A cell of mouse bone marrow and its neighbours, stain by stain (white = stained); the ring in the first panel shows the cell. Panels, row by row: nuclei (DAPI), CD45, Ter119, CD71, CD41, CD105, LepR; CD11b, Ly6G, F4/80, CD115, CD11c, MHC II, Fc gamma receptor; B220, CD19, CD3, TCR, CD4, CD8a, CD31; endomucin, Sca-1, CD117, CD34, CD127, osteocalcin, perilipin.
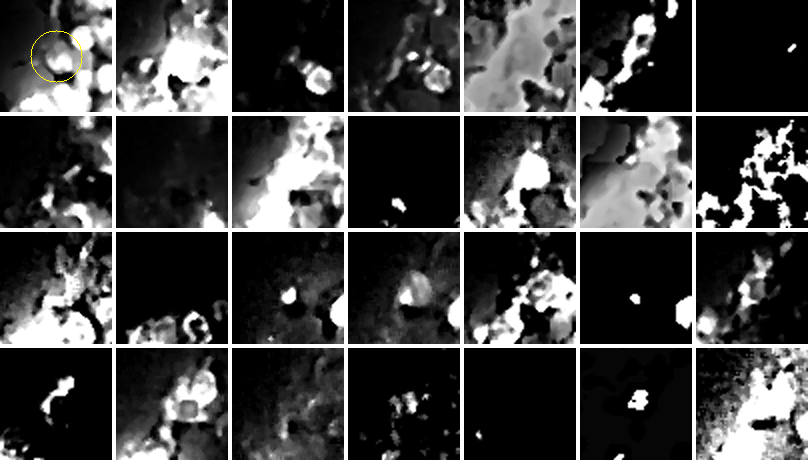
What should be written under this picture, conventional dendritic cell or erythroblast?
conventional dendritic cell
